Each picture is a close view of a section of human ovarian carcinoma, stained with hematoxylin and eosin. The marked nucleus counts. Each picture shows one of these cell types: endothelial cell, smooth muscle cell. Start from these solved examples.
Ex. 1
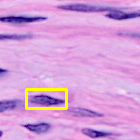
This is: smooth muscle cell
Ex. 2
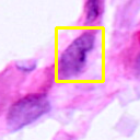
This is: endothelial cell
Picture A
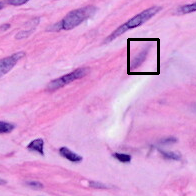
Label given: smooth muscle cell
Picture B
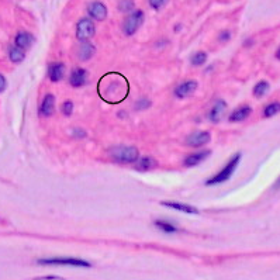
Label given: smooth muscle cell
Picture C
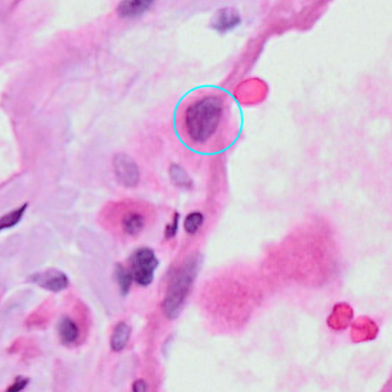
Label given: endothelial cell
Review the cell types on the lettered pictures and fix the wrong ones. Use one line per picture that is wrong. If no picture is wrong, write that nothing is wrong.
All correct.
